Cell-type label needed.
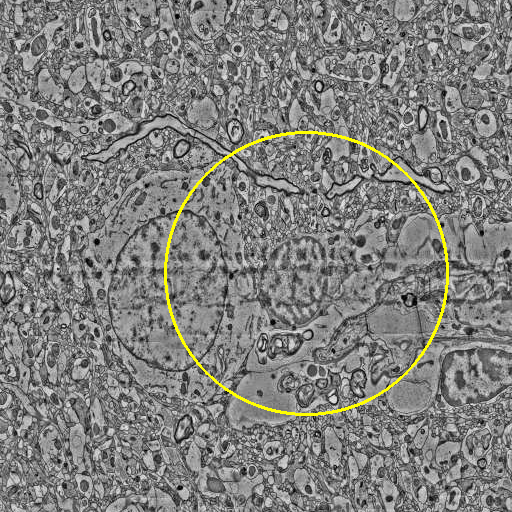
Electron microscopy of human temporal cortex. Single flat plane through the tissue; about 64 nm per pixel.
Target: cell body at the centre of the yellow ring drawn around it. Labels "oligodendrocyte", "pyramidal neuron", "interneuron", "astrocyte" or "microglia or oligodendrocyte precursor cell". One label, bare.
oligodendrocyte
